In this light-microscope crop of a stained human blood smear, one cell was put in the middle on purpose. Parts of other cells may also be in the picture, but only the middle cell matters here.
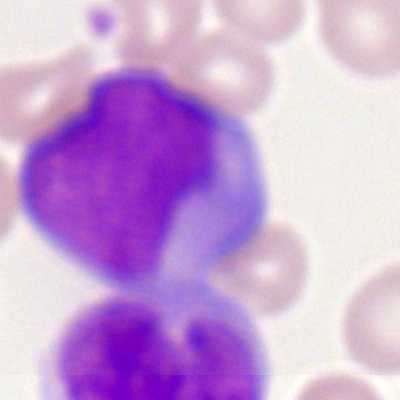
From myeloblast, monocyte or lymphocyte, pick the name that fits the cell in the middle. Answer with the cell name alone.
myeloblast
